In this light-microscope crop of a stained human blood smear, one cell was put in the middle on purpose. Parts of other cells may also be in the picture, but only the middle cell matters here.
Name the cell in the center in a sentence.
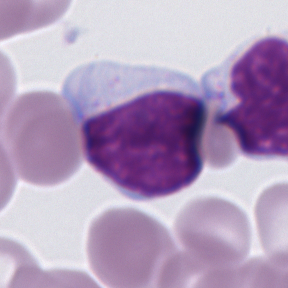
The crop shows a large granular lymphocyte in its centre.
